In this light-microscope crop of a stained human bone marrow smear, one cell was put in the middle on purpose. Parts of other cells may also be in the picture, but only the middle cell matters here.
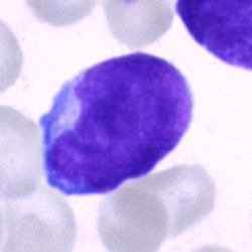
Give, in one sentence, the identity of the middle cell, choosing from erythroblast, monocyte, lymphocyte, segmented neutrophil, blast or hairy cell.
At the center of the crop sits a blast.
